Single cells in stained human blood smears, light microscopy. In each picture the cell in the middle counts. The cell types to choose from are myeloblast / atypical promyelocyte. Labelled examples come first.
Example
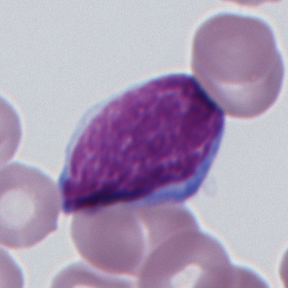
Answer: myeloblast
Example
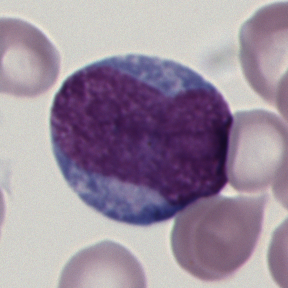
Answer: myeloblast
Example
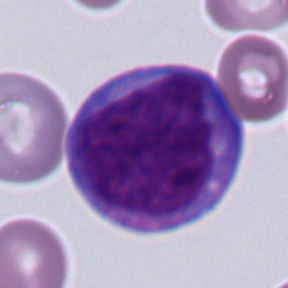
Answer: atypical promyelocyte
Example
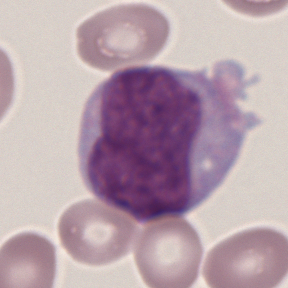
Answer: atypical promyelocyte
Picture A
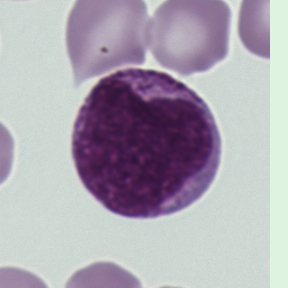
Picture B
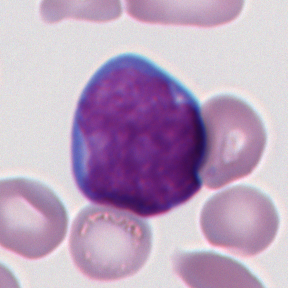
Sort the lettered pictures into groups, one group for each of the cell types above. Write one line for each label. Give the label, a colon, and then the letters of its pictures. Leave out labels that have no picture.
myeloblast: A, B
